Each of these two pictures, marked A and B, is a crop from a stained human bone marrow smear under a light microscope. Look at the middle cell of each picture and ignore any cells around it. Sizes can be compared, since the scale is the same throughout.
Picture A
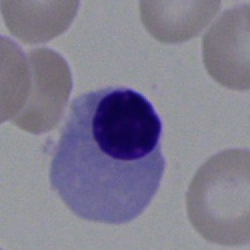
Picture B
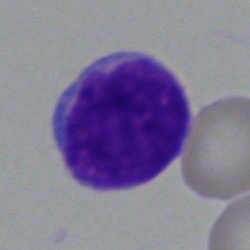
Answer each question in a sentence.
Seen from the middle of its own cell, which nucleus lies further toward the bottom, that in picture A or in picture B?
The nucleus in picture B lies further toward the bottom of its cell.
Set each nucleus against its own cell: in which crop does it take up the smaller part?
Of the two, the nucleus in picture A leaves more room for cytoplasm.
